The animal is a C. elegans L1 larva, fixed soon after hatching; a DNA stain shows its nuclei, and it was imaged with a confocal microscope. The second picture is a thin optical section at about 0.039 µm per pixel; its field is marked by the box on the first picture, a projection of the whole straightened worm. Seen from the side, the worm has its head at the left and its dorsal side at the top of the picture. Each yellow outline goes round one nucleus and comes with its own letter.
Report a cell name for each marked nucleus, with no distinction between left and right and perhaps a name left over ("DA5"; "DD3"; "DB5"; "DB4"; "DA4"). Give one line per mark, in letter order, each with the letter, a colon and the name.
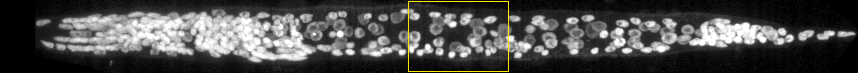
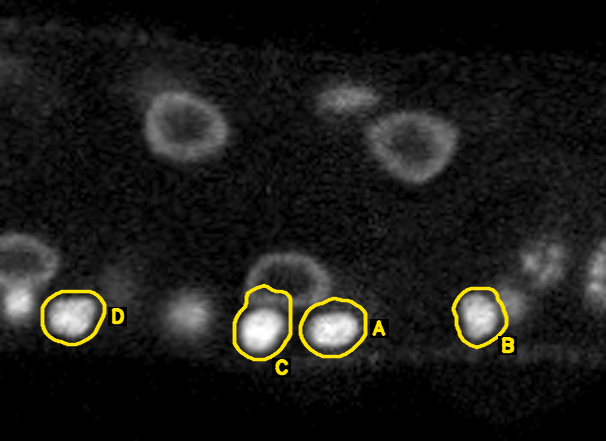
A: DD3
B: DB5
C: DA4
D: DB4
